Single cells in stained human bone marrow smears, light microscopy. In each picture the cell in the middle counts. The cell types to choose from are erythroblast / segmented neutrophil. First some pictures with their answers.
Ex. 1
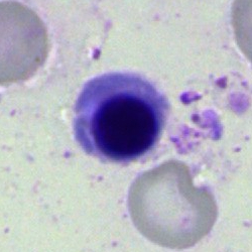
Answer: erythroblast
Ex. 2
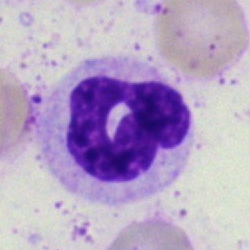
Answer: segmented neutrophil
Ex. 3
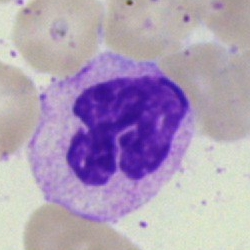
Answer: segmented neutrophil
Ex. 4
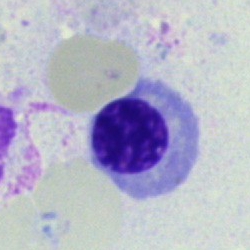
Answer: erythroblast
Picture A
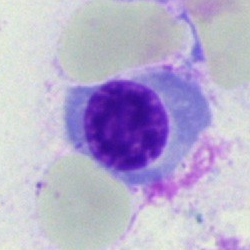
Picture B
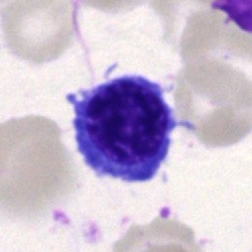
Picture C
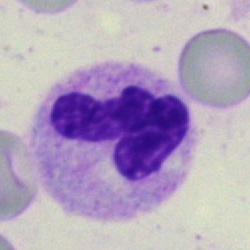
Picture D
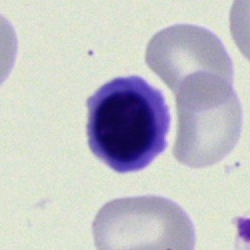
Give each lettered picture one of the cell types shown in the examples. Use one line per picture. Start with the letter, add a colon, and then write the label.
A: erythroblast
B: erythroblast
C: segmented neutrophil
D: erythroblast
